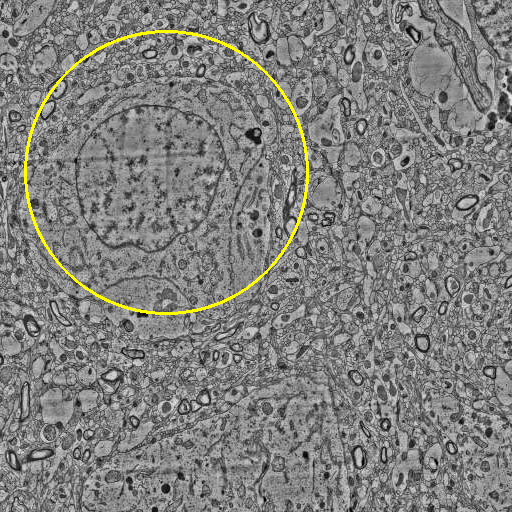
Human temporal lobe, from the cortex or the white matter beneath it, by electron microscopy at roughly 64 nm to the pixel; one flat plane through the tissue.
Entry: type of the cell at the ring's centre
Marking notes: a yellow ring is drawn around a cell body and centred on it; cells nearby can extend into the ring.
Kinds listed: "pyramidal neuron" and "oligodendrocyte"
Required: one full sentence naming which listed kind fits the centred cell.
My entry names a pyramidal neuron as the cell whose body the yellow ring centres on.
